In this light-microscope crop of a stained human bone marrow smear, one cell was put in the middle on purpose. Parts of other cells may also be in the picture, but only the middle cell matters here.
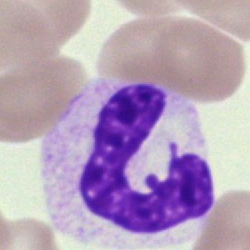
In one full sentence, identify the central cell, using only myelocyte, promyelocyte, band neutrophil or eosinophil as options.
The cell at the middle of the crop is recognized as a band neutrophil.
